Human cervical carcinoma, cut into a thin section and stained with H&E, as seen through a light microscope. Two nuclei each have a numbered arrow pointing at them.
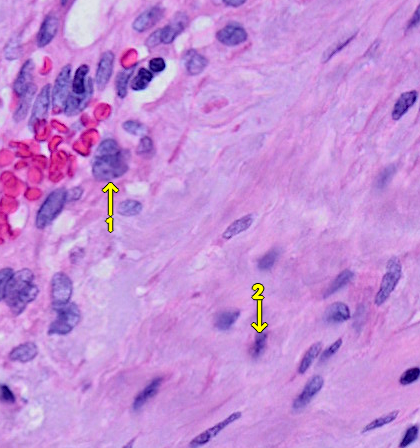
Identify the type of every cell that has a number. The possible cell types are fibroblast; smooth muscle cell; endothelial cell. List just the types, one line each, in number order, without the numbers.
endothelial cell
smooth muscle cell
